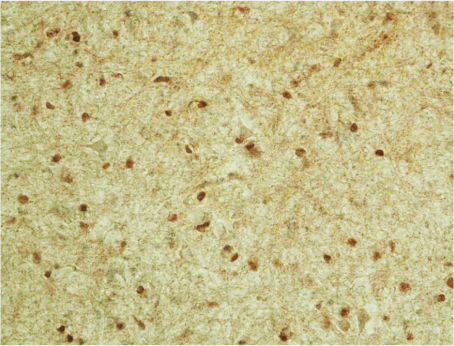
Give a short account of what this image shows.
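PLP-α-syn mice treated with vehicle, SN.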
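This is a section of midbrain tissue in which many small, dark brown, compact bodies are scattered fairly evenly through a pale neuropil. The brown bodies are round to oval and of similar small size, each about the size of a small cell body. Between them the background is a fine meshwork of light brown fibres. A few larger, pale, rounded cell outlines can be made out among the brown bodies. No counterstained nuclei stand out clearly.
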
